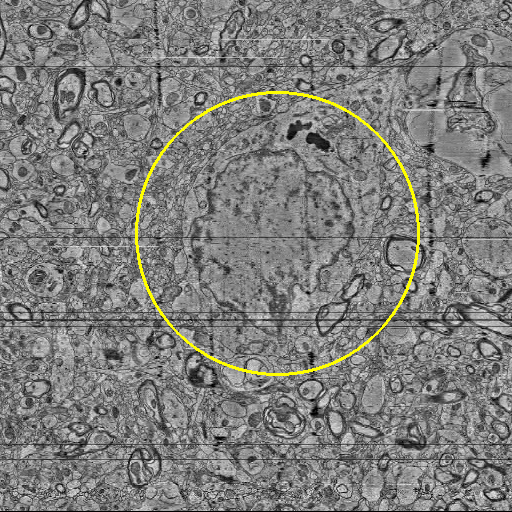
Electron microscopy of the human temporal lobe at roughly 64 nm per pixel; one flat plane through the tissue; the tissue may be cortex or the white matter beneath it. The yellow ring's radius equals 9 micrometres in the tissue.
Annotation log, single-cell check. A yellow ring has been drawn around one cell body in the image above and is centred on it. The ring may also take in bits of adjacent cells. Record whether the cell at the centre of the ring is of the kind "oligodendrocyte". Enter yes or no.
no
